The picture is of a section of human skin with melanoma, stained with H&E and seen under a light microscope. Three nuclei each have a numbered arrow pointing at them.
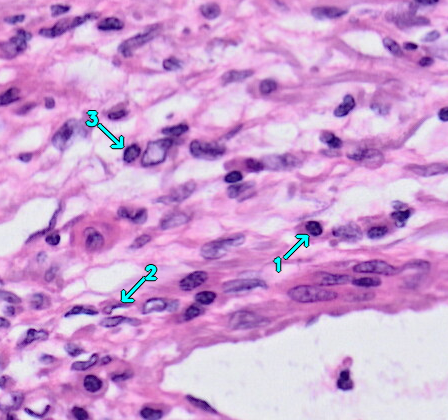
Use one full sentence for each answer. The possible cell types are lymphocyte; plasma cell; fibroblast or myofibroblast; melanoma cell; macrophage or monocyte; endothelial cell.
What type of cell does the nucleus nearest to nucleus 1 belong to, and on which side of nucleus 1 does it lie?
The nearest nucleus is that of a fibroblast or myofibroblast and lies to the right of nucleus 1.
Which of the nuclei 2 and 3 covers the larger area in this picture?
Of the two, number 3 is bigger and takes up about 2 times the area of number 2.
